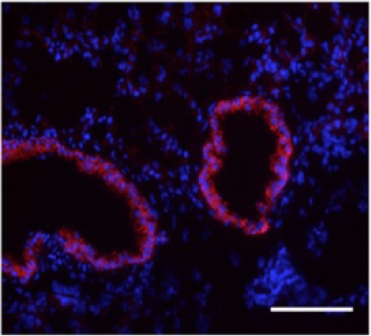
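Two airways are cut across in this lung section, each lined by a continuous single layer of epithelial cells that glow red, with their blue nuclei packed along the ring. The red outlines the cells of the lining while the lumens inside are dark and empty. Around the airways lies loose alveolar tissue made of thin walls with scattered blue nuclei and little red. This is the airway epithelium, standing out sharply from the surrounding lung parenchyma.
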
